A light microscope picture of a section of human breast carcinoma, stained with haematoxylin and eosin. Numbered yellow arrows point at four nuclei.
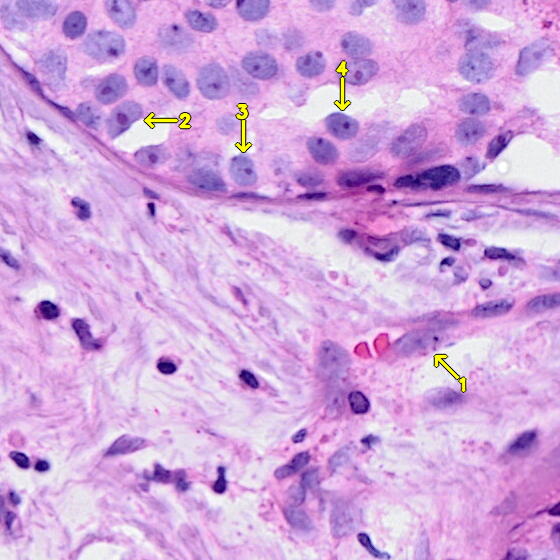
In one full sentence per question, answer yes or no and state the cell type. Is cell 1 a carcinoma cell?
No, as for cell 1, it is an endothelial cell and not a carcinoma cell.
